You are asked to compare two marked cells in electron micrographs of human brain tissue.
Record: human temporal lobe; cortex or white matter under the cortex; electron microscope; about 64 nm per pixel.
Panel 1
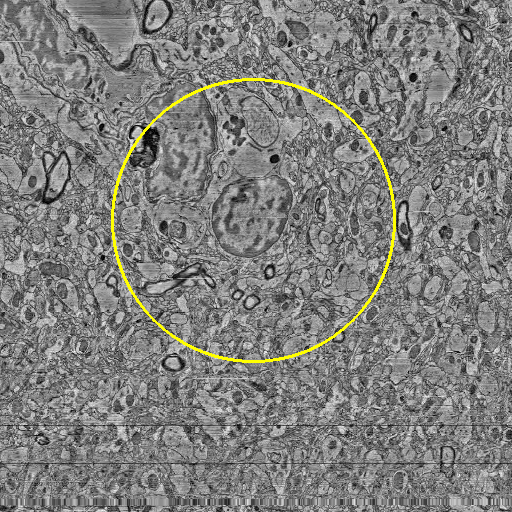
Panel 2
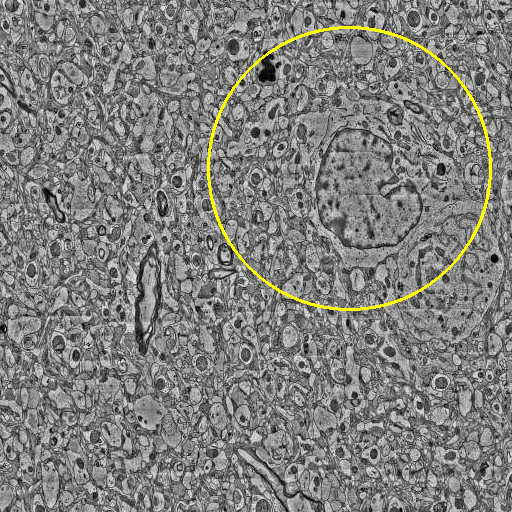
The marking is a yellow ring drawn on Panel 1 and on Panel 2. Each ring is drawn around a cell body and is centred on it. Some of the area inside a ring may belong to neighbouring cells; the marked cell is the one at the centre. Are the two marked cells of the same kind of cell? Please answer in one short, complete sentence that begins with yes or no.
Yes, the two marked cells are of the same kind.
